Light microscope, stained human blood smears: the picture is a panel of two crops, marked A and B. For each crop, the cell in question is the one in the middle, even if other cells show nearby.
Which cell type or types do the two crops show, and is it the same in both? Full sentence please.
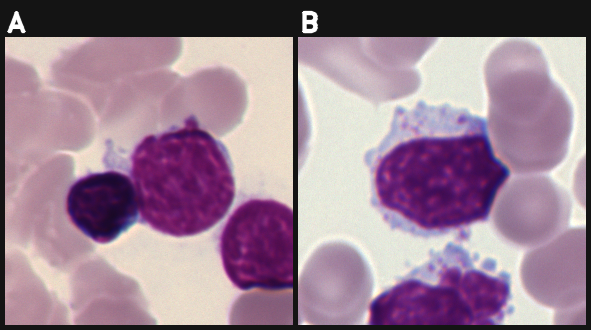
No, record crop A as a myeloblast and crop B as a large granular lymphocyte.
